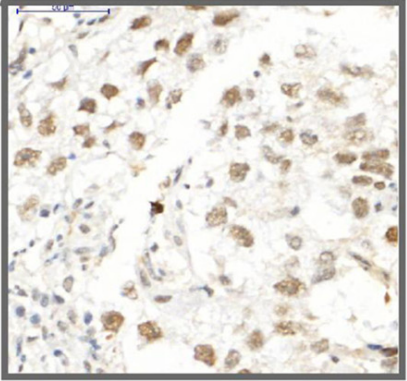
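The tumor cells have rounded to oval nuclei stained moderately brown, with pale cytoplasm. Cells lie singly or in small groups along thin strands and around an empty space. Scattered small blue-stained nuclei of other cells lie between them.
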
